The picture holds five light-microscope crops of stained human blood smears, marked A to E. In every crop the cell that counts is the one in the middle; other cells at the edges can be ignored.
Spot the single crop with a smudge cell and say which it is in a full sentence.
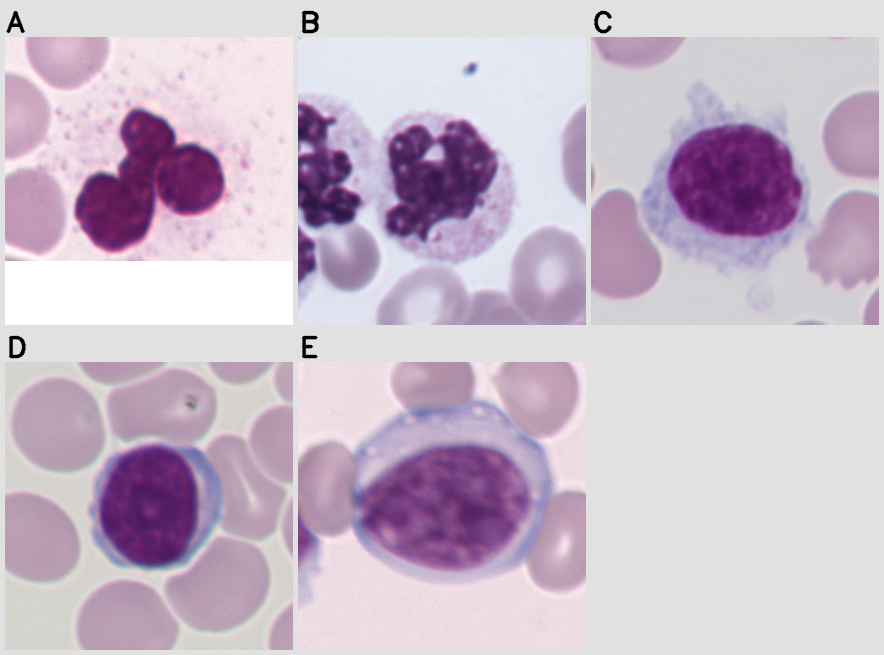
Of the crops given, a smudge cell is found in crop A.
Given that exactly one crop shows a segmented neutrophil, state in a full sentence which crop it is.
The one crop that shows a segmented neutrophil is crop B.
